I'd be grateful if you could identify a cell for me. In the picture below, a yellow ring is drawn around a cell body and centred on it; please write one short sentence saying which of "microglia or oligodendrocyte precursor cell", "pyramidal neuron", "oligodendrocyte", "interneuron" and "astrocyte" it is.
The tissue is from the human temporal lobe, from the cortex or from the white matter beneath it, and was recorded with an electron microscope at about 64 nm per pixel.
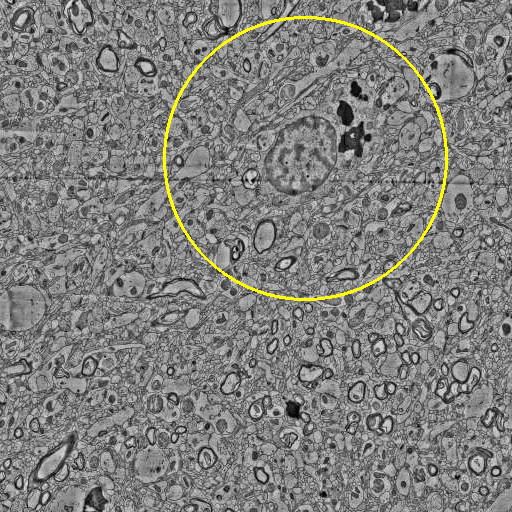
The cell under the ring's centre is an oligodendrocyte.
